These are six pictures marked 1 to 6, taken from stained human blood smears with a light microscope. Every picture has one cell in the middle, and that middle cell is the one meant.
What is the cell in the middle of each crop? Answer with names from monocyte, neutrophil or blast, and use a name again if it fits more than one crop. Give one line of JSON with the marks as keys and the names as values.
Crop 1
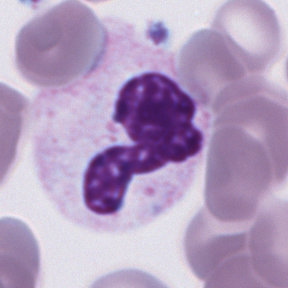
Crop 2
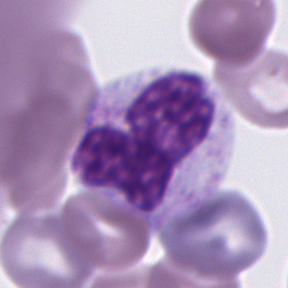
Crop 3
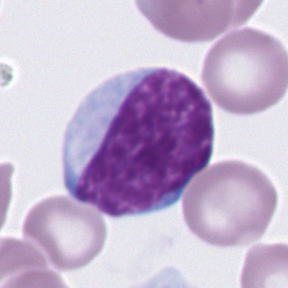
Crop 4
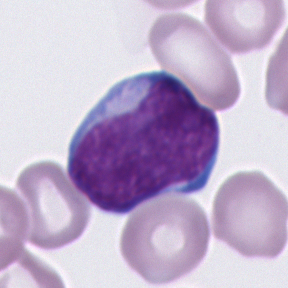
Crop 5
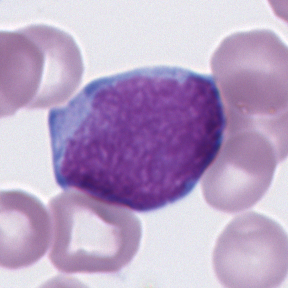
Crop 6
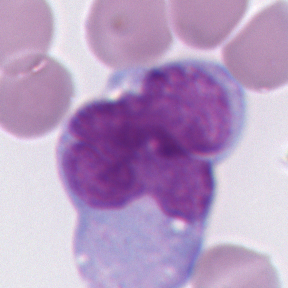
{"1": "neutrophil", "2": "neutrophil", "3": "blast", "4": "blast", "5": "blast", "6": "monocyte"}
